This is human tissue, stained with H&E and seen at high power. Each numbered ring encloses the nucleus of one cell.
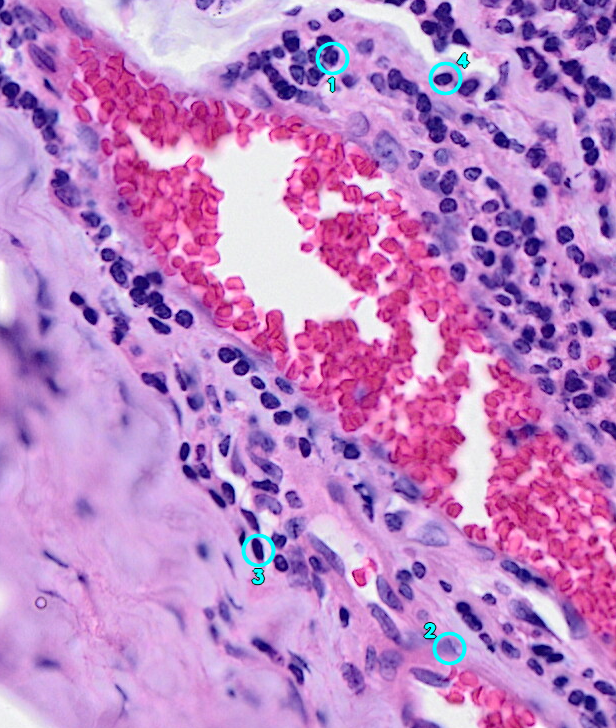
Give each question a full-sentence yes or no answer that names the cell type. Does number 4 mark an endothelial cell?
No, cell 4 isn't an endothelial cell; it's a lymphocyte.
